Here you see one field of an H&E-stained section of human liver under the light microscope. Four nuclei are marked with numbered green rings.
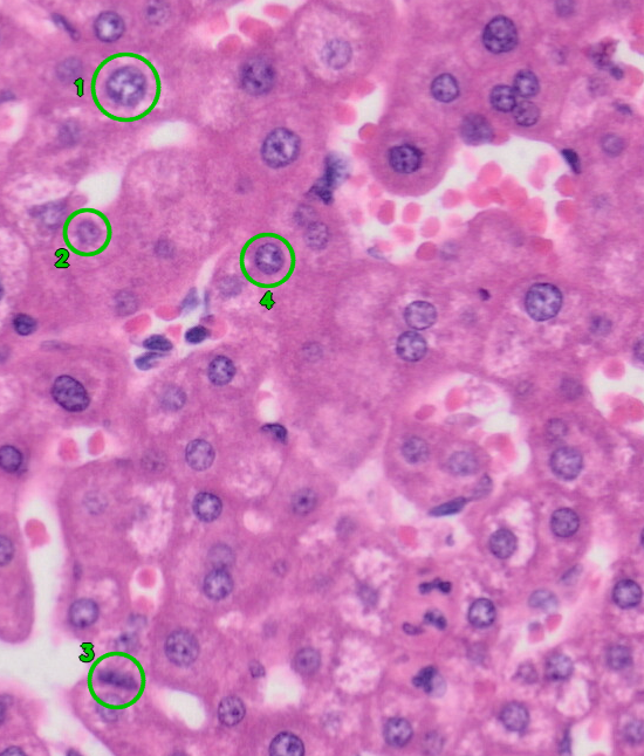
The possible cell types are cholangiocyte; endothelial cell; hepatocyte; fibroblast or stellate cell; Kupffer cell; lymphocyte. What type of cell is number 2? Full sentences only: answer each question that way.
In the tissue shown, cell 2 is a hepatocyte.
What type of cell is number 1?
Cell 1 should be recorded as a hepatocyte.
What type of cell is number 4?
Corresponding to a hepatocyte is the cell labelled 4.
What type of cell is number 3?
Number 3 is placed on a fibroblast or stellate cell here.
